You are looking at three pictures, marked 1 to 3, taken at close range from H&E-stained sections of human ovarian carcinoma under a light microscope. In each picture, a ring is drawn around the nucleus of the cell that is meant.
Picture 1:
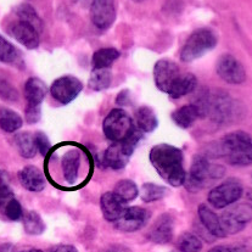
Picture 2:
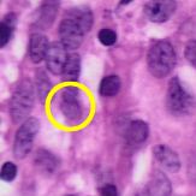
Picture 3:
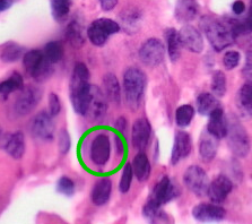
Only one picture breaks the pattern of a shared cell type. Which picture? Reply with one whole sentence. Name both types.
Unlike the rest, which show carcinoma cells, picture 1 shows a “macrophage or monocyte”.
